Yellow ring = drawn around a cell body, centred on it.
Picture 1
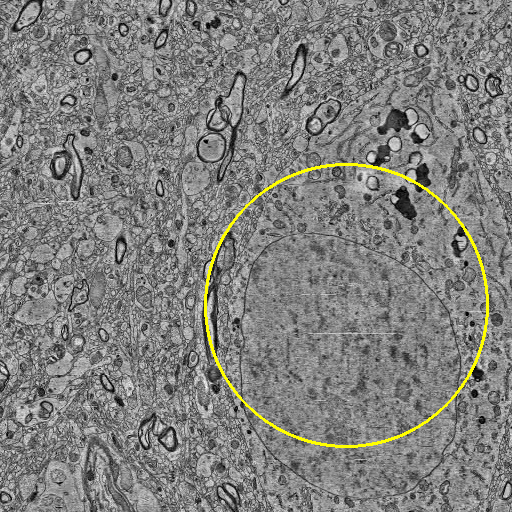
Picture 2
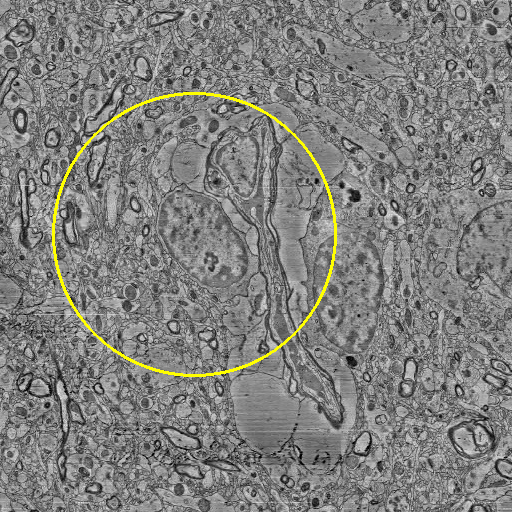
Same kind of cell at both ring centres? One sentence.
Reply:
No, they are two kinds of cell.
